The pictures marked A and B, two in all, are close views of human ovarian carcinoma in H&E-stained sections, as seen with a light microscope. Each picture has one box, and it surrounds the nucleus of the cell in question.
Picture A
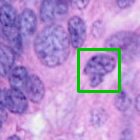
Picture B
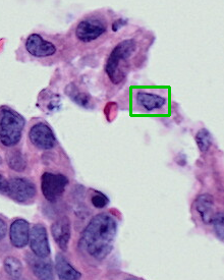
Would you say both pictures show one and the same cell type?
yes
